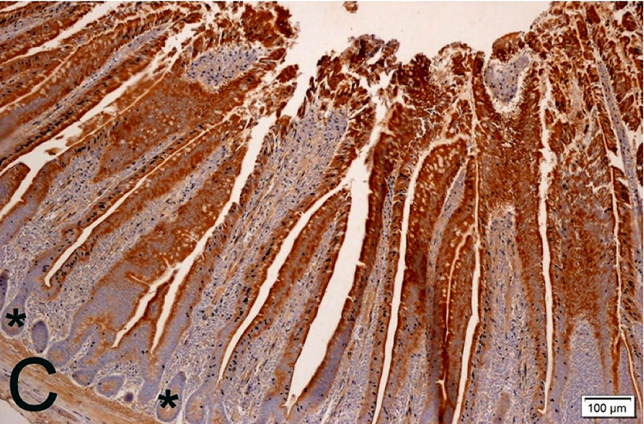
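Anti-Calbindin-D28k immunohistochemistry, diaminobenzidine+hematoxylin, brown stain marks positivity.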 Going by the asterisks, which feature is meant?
crypts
